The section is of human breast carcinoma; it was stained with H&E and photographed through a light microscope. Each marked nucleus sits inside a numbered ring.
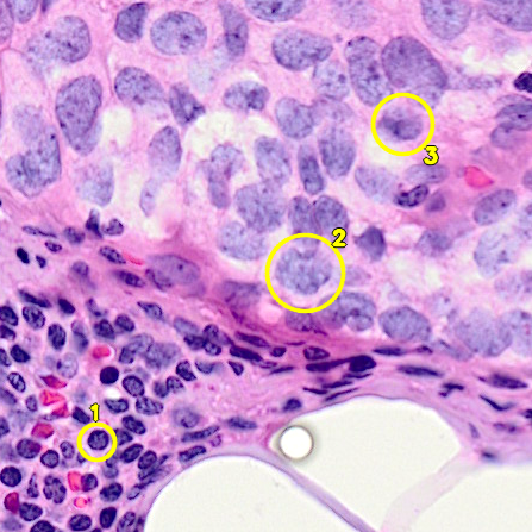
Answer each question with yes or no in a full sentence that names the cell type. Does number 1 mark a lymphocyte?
Yes, the marked cell number 1 is a lymphocyte.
